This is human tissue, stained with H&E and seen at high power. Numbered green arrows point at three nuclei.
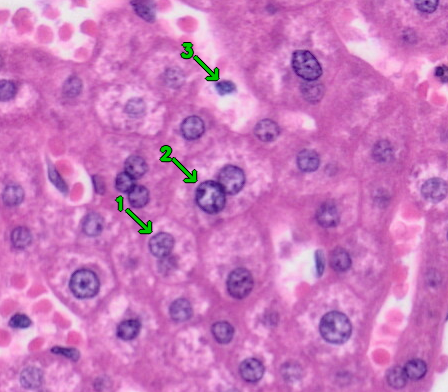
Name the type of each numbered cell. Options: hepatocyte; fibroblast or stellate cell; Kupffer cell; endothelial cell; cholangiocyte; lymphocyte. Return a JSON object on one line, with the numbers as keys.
{"1": "hepatocyte", "2": "hepatocyte", "3": "lymphocyte"}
